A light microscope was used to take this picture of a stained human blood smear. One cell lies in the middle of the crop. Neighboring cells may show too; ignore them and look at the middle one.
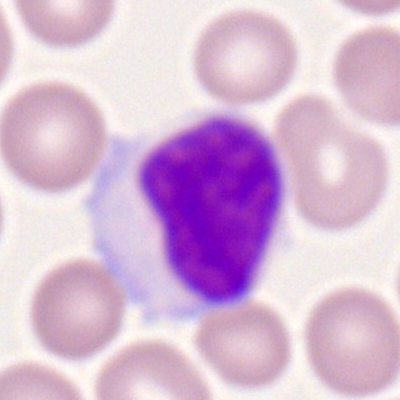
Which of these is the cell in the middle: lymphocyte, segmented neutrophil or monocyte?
lymphocyte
